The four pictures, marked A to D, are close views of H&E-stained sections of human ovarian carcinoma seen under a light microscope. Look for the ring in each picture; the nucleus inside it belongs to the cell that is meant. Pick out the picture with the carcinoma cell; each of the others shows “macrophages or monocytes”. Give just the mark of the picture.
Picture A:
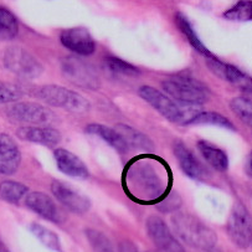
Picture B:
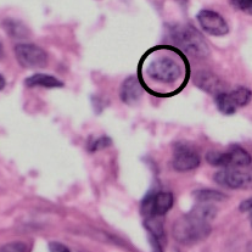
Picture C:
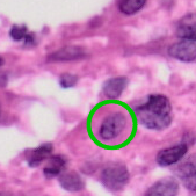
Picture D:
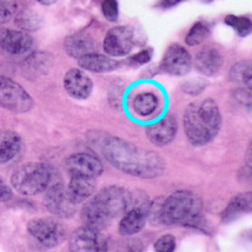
A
